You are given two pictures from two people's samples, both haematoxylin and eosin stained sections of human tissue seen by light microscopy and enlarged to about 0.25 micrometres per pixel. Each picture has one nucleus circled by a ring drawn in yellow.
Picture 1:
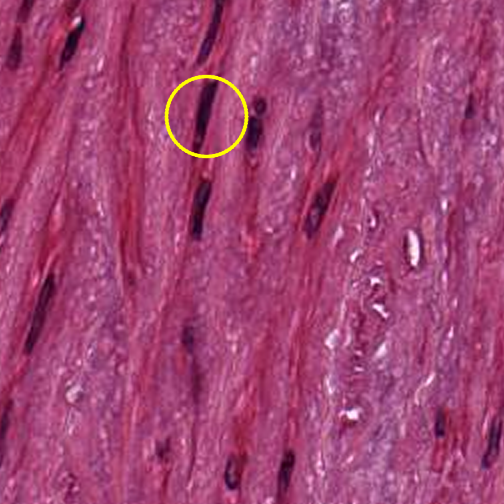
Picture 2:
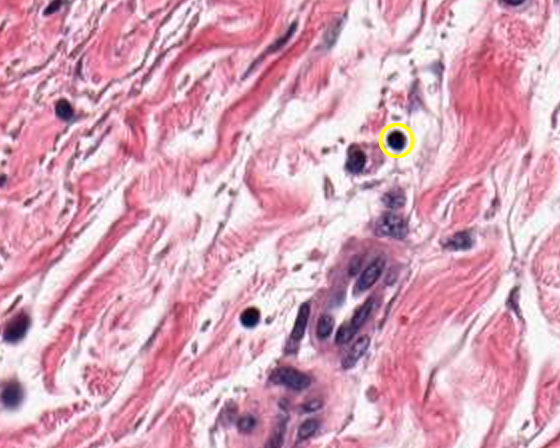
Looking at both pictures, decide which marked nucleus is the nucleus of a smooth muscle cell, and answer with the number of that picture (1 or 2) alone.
1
